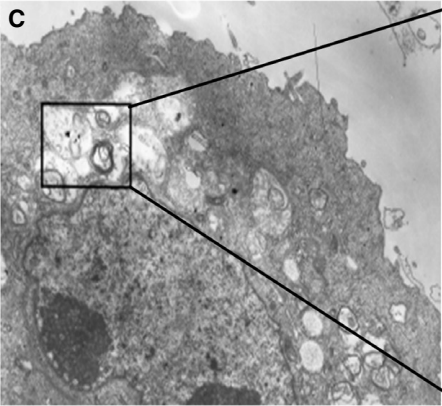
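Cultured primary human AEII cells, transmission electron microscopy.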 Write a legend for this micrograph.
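The nucleus lies at lower left, its chromatin finely granular, with a dense dark nucleolus. The cytoplasm is grey and granular. Toward the upper and right side many pale, clear vacuoles gather, and several of them contain concentric whorls of dark membrane, the lamellar bodies. The outer cell border at the upper right is irregular with small surface projections, and pale extracellular space lies beyond it.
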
